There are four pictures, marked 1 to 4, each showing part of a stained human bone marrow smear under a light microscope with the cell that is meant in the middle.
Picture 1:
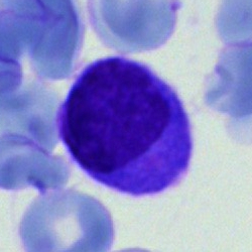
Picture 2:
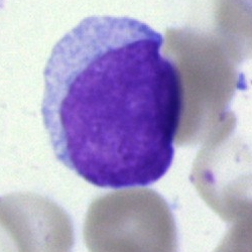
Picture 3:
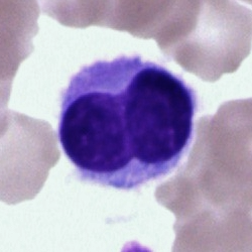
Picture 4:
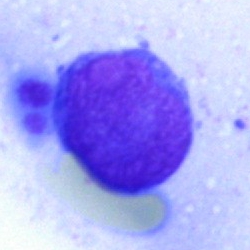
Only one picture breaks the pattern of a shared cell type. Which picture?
3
